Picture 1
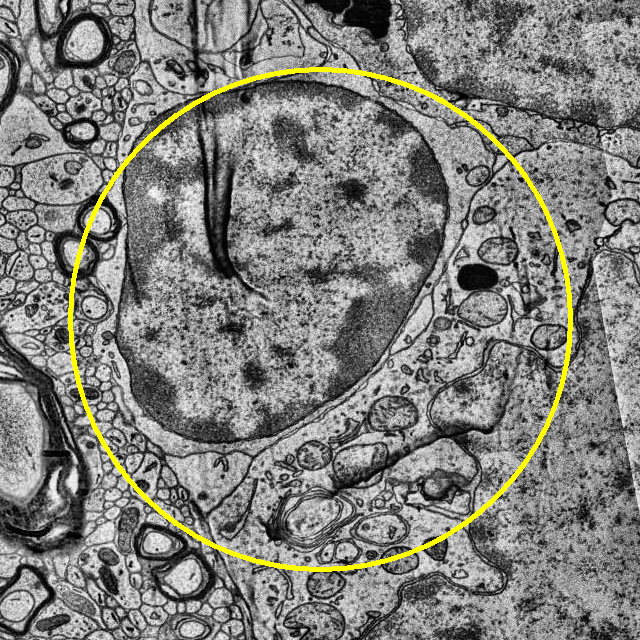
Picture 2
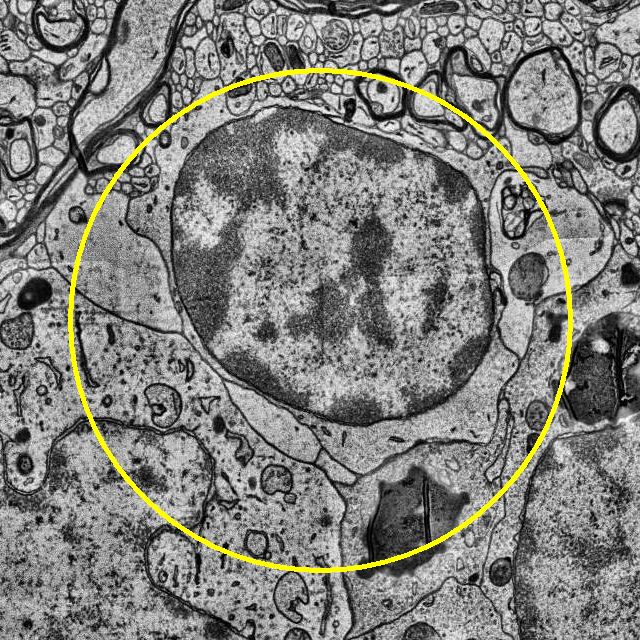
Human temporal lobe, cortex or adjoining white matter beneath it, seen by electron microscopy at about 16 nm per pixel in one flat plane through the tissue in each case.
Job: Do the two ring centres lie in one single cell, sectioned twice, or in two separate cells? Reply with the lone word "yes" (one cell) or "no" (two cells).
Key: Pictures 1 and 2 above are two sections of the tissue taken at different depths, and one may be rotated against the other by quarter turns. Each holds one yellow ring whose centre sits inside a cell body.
yes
